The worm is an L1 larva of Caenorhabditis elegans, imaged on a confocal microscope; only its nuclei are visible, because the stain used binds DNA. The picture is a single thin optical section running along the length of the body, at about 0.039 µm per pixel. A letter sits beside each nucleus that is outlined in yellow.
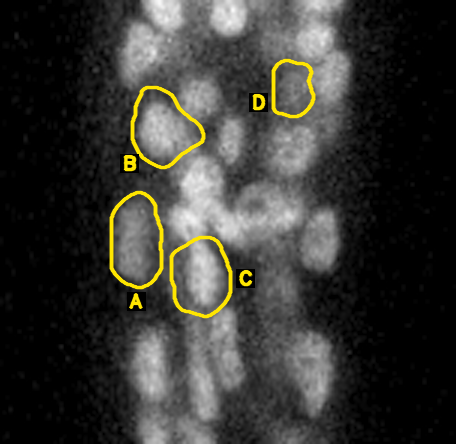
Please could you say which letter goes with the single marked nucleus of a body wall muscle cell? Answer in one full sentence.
A is the nucleus of a body wall muscle cell.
